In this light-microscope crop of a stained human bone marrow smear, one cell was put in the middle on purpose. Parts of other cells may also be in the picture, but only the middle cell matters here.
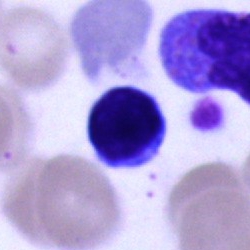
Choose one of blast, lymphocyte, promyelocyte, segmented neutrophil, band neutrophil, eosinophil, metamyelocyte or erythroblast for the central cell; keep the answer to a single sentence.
The cell at the middle of the frame should be recorded as a lymphocyte.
